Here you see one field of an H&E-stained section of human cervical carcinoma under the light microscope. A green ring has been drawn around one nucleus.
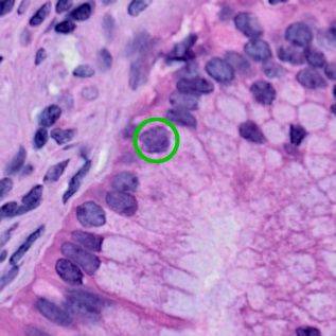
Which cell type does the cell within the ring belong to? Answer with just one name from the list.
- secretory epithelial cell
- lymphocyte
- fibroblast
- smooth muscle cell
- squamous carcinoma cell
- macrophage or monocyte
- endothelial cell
secretory epithelial cell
